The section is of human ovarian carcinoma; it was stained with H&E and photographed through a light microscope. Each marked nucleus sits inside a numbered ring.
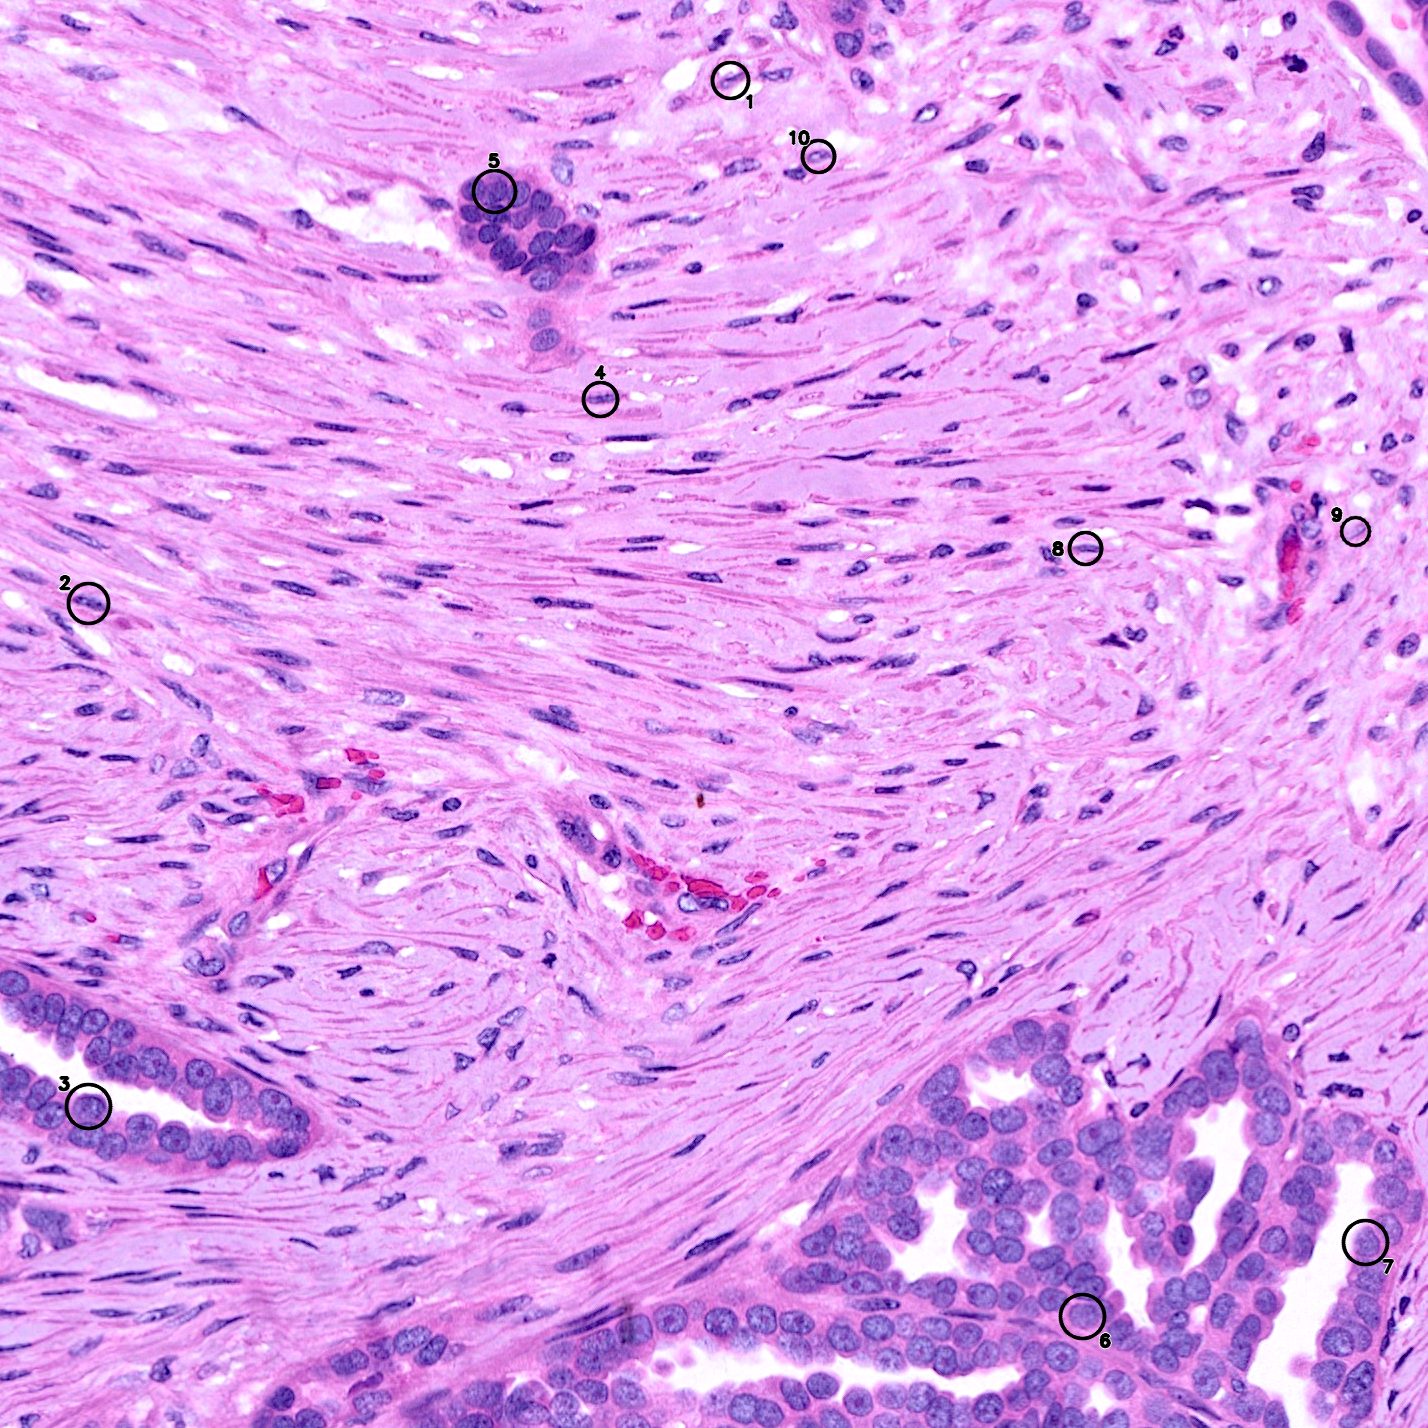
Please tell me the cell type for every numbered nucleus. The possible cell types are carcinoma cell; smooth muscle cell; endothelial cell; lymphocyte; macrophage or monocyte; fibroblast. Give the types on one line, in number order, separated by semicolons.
fibroblast; fibroblast; carcinoma cell; fibroblast; carcinoma cell; carcinoma cell; carcinoma cell; fibroblast; fibroblast; fibroblast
